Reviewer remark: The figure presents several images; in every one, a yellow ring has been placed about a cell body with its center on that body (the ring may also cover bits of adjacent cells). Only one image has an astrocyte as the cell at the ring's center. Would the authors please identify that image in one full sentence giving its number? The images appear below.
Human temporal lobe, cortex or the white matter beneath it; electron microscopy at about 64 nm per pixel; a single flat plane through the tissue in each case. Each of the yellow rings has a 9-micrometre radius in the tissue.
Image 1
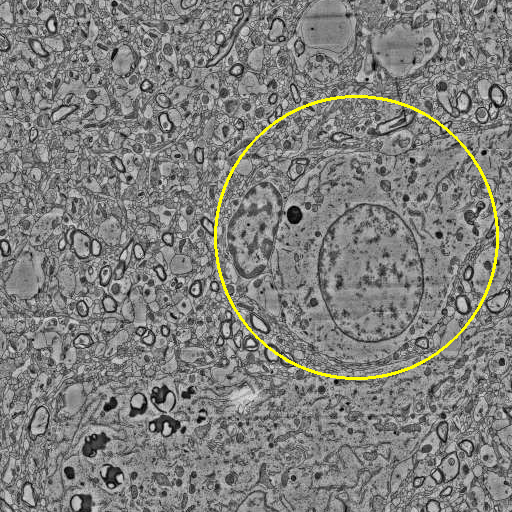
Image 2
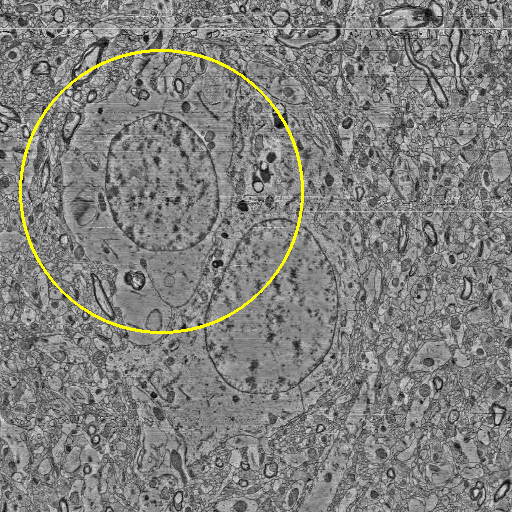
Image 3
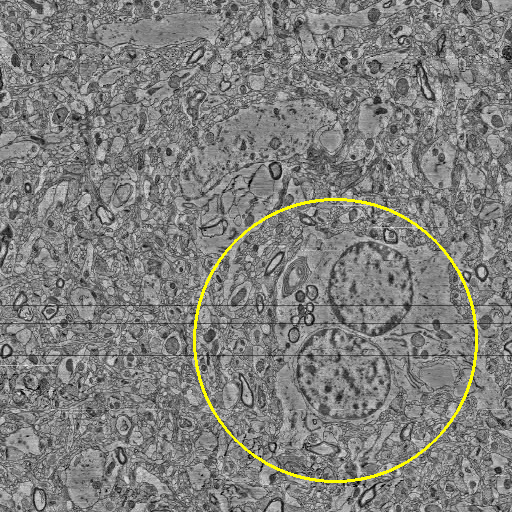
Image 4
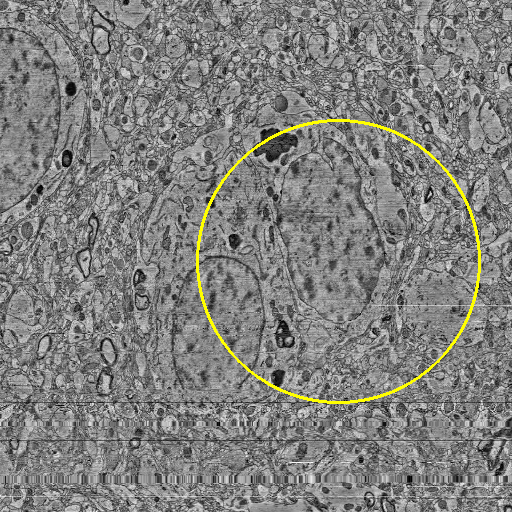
The ring's central cell in image 2 is the one the question describes.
